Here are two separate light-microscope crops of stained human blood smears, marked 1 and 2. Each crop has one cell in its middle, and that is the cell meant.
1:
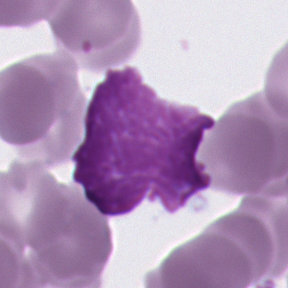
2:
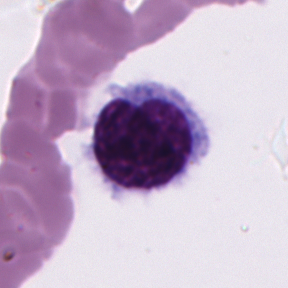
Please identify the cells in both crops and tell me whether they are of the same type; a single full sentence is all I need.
No, crop 1 has a smudge cell in the middle, and crop 2 has a hairy cell.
